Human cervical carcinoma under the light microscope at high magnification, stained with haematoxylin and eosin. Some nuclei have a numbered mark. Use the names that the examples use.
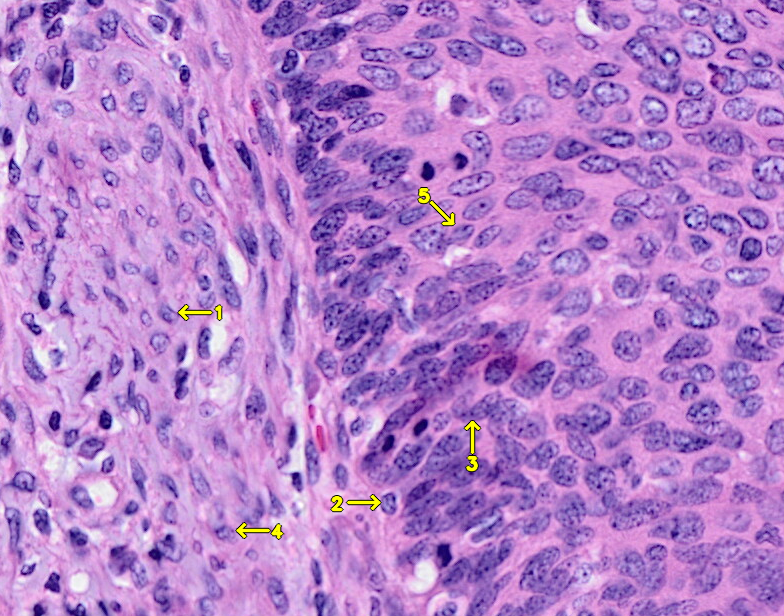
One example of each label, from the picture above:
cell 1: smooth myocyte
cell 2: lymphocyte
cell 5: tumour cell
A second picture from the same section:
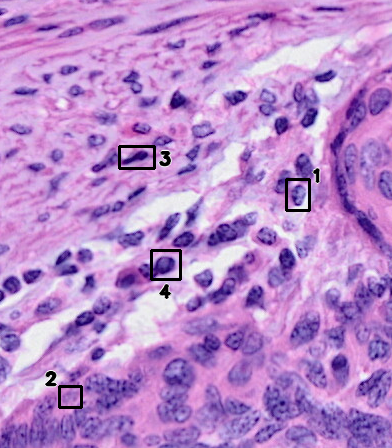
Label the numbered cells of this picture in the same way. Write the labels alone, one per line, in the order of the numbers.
lymphocyte
tumour cell
lymphocyte
lymphocyte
